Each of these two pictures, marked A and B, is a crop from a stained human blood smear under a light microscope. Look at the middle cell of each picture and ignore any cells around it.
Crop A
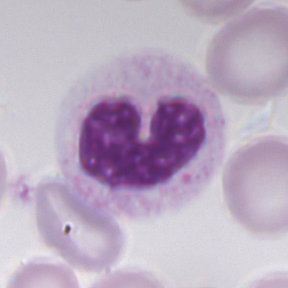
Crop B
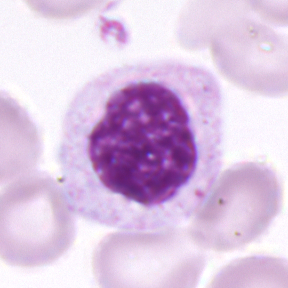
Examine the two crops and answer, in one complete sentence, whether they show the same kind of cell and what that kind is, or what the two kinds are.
No, the cell in crop A is a band neutrophil, and the cell in crop B is a metamyelocyte.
